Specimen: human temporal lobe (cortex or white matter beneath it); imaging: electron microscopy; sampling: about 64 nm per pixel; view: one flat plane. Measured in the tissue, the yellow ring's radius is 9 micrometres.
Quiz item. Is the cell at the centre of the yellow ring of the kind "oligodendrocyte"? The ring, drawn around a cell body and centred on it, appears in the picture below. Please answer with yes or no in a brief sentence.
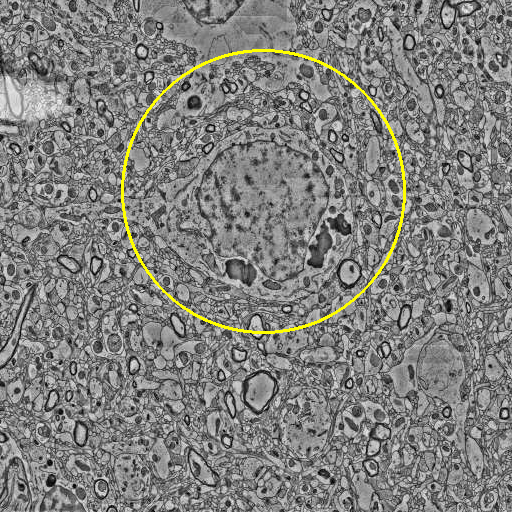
No, it is another kind of cell.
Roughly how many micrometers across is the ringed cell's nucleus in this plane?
In this plane the nucleus measures roughly 9 micrometres across.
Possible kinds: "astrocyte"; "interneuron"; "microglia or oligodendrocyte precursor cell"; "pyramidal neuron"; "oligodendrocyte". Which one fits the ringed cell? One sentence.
The cell shown in the ring is an interneuron.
